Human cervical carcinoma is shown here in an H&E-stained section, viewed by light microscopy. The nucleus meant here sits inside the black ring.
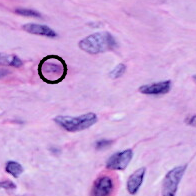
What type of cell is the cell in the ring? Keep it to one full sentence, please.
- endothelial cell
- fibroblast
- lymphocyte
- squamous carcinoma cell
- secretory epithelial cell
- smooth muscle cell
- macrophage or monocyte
With respect to cell type, the cell in the ring is a smooth muscle cell.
